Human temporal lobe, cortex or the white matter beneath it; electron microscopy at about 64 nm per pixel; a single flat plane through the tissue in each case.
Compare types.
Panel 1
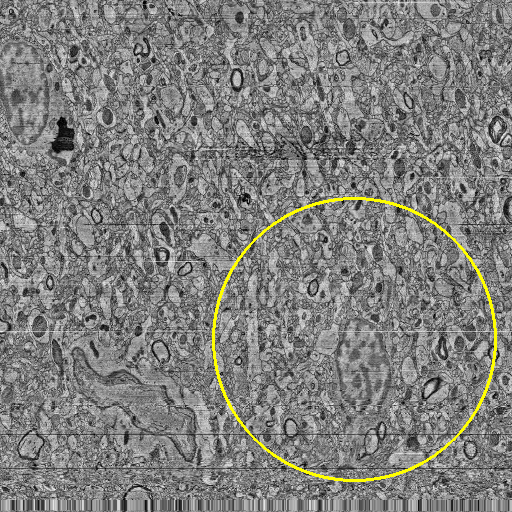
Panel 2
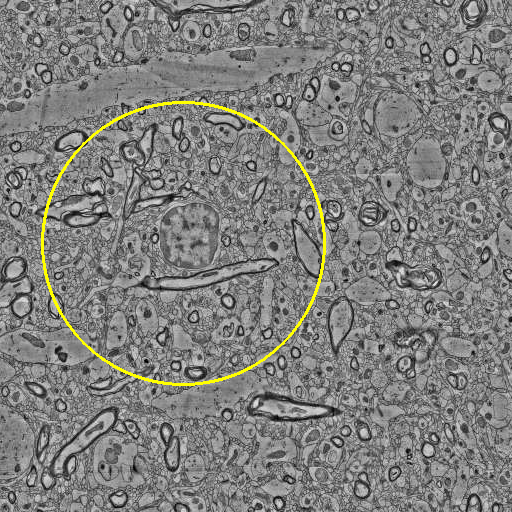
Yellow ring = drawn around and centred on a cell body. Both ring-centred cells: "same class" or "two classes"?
two classes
